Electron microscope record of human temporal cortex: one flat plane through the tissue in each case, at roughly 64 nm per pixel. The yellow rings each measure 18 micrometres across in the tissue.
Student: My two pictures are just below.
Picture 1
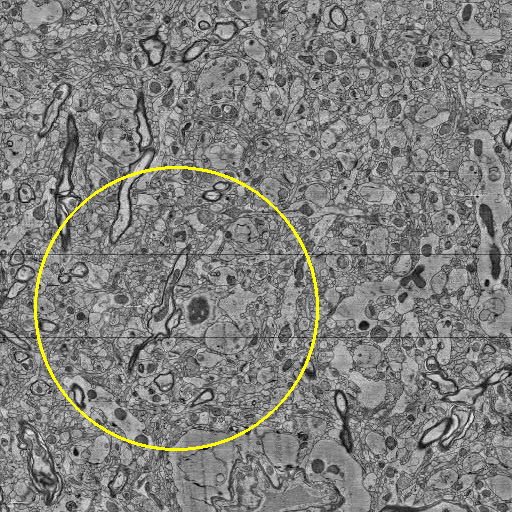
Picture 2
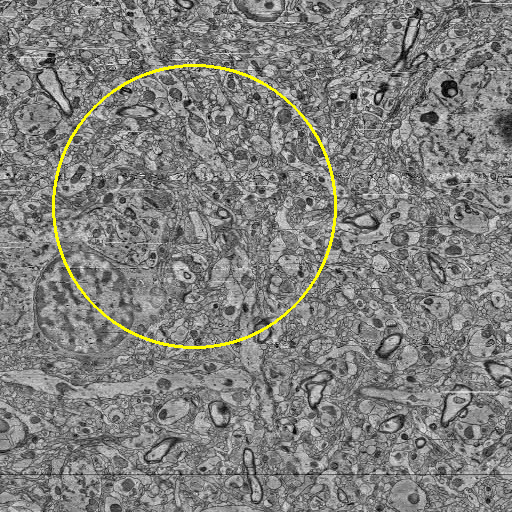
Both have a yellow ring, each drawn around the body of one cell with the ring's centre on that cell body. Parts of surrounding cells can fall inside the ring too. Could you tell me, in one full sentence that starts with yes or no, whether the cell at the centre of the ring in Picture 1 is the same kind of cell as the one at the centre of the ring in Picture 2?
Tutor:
Yes, the two cells are of the same kind.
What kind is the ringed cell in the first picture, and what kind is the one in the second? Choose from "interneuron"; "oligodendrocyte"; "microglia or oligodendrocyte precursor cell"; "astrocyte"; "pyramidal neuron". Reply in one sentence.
Each of the two pictures has a microglial cell or oligodendrocyte precursor cell at the ring centre.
